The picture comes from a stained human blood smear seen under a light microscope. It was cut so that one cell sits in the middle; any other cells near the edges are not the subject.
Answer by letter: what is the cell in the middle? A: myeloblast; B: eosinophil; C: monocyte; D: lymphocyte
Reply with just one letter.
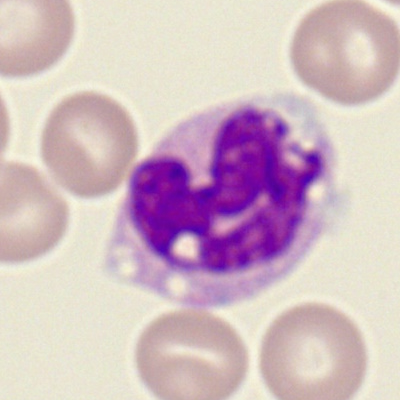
C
